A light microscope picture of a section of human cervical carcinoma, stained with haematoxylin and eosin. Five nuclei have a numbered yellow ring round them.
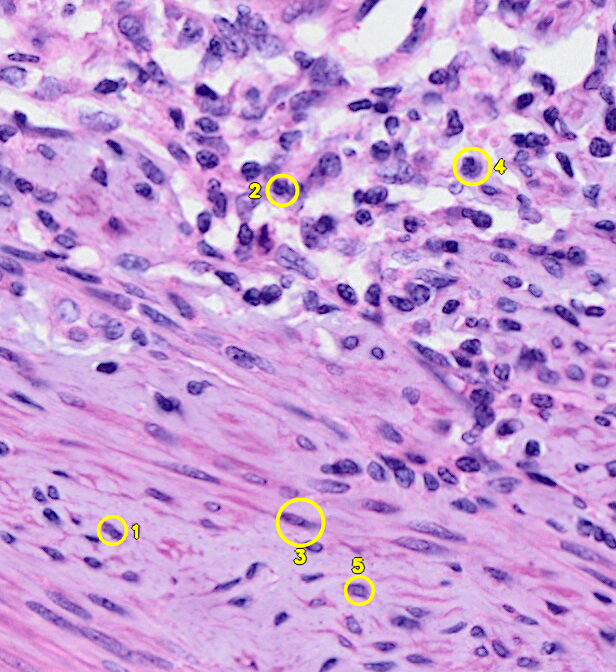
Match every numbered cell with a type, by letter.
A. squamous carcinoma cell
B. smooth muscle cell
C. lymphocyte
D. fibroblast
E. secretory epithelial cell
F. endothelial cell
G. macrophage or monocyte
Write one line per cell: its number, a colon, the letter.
1: B
2: C
3: B
4: C
5: B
